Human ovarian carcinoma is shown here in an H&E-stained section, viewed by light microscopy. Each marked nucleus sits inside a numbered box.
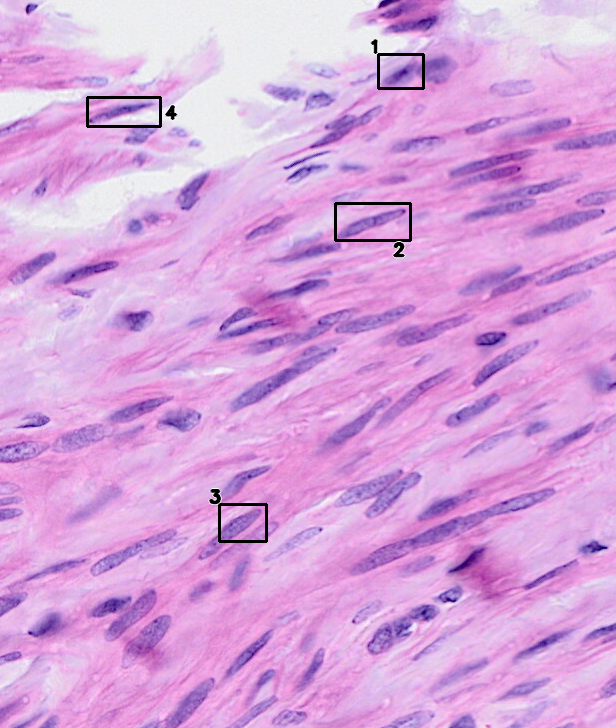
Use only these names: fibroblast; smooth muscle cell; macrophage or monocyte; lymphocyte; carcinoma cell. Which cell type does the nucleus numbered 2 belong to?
smooth muscle cell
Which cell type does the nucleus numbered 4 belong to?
smooth muscle cell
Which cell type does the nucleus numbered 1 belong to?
fibroblast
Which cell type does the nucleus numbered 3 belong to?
smooth muscle cell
